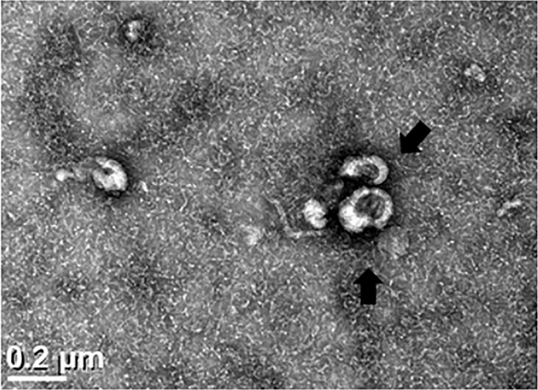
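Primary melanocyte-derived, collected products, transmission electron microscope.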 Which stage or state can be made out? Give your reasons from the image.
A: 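Cup shape. The vesicles have a raised pale rim around a sunken centre. Some vesicles look collapsed or folded on one side.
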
